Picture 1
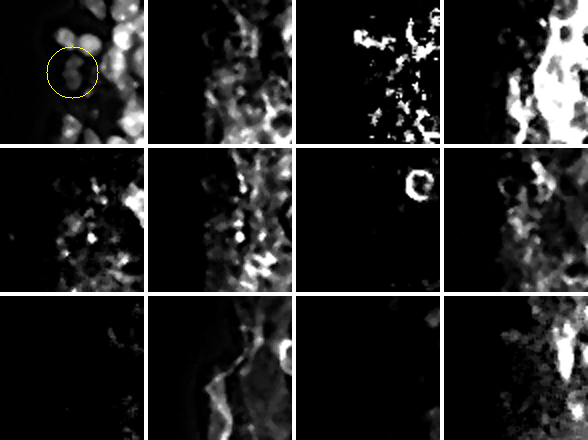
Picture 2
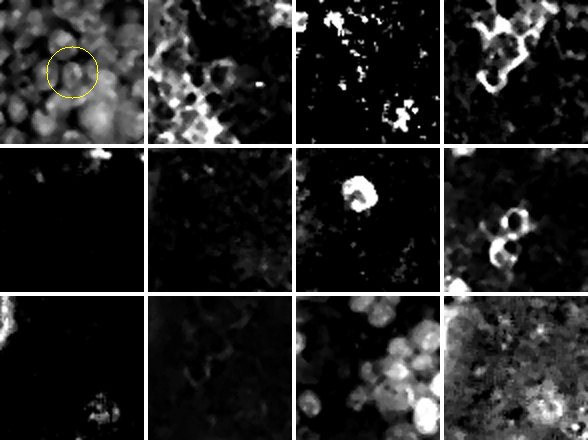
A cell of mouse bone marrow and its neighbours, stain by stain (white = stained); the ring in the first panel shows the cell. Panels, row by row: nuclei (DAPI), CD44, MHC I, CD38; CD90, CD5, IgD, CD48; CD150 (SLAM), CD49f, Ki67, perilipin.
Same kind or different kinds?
Same: capillary endothelial cells.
